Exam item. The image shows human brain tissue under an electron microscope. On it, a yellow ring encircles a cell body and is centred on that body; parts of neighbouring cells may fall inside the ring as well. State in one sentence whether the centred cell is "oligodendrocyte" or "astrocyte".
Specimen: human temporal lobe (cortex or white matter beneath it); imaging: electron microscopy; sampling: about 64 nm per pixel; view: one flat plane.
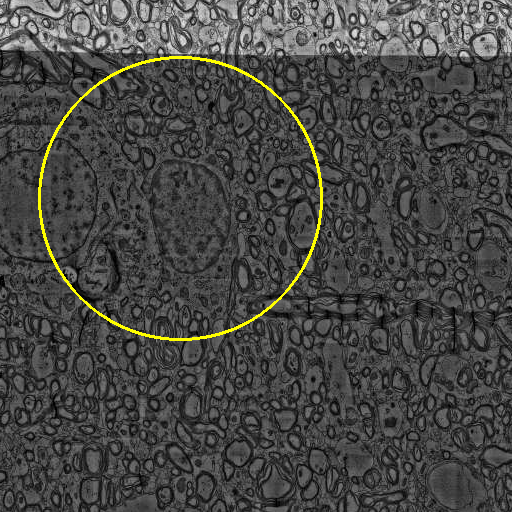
The cell body centred in the ring is an oligodendrocyte.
